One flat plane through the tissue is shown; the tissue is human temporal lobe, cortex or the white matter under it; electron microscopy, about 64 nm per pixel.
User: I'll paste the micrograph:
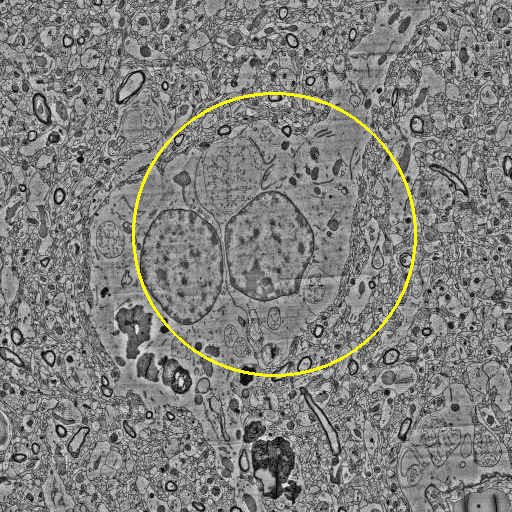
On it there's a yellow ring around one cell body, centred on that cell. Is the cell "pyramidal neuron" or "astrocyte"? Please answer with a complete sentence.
The cell ringed in yellow is an astrocyte.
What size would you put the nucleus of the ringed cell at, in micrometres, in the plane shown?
In this plane the nucleus spans approximately 7 by 6 micrometers.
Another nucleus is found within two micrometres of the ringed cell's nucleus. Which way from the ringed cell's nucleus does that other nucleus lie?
The other nucleus can be seen to the lower left of it.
